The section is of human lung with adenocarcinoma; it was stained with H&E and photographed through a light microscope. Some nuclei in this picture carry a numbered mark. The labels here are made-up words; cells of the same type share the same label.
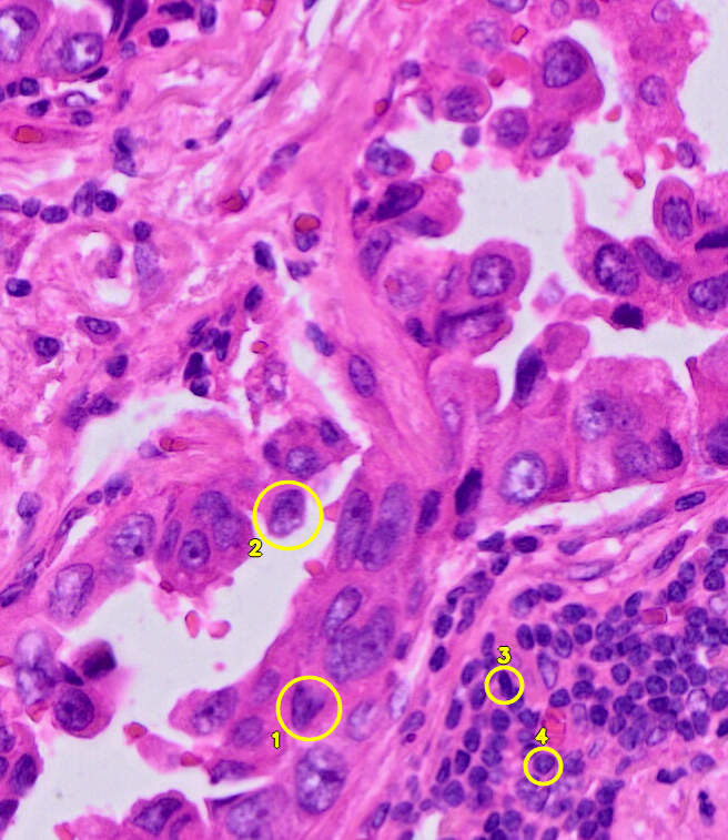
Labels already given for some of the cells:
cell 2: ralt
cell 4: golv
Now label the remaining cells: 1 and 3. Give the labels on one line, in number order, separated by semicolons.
ralt; golv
